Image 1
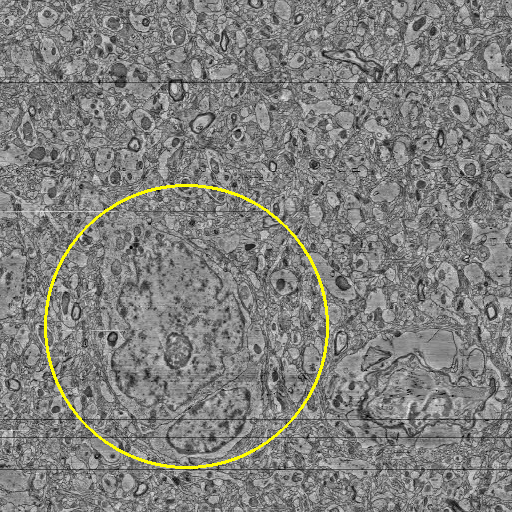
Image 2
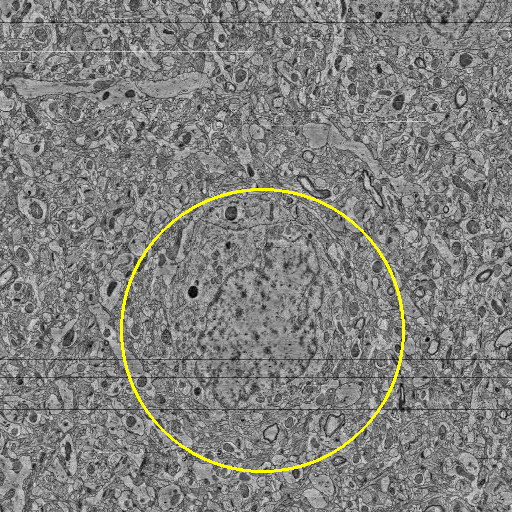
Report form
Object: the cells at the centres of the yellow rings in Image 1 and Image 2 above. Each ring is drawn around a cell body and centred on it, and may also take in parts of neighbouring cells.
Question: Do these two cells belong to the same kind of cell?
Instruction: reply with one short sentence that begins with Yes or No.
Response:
Yes, both belong to the same kind of cell.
